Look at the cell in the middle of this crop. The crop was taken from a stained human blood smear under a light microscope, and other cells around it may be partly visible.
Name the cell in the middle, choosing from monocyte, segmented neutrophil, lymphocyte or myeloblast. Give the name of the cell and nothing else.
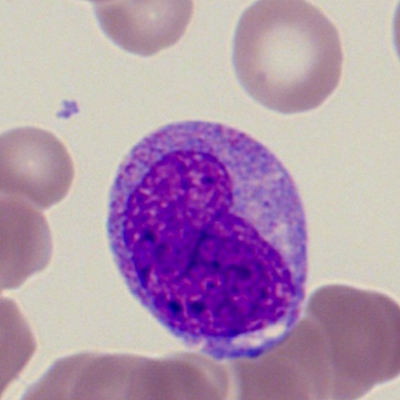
monocyte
